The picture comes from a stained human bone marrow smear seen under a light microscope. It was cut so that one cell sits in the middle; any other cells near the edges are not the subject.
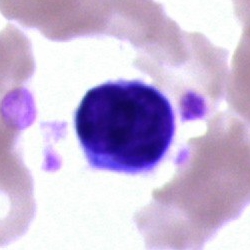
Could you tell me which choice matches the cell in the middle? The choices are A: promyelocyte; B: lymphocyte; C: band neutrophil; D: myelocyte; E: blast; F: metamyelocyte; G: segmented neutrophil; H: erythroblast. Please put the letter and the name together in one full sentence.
The correct identification, given in option B, is that the central cell is a lymphocyte.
